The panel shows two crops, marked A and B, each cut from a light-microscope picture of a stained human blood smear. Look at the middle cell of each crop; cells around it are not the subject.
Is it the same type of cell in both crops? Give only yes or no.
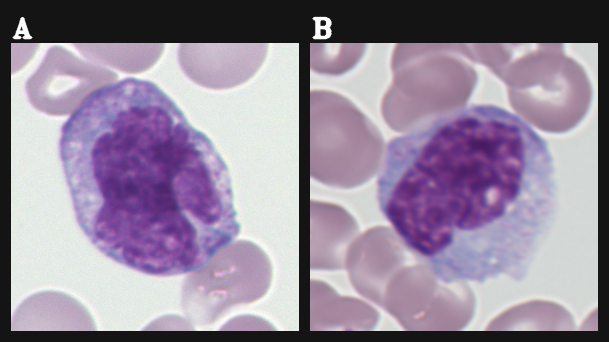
no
